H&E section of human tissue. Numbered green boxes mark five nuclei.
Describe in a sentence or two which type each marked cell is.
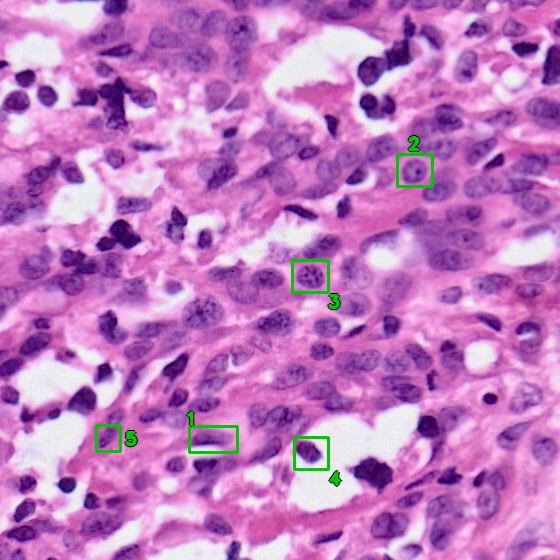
Cells 1 and 4 are carcinoma cells. Cells 2 and 3 are macrophages or monocytes. Cell 5 is an endothelial cell.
